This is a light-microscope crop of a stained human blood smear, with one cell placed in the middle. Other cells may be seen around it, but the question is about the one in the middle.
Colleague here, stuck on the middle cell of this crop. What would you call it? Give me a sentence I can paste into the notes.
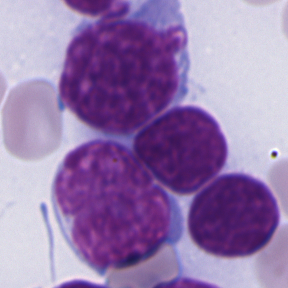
In the middle of this smear crop is a blast.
